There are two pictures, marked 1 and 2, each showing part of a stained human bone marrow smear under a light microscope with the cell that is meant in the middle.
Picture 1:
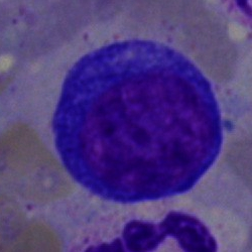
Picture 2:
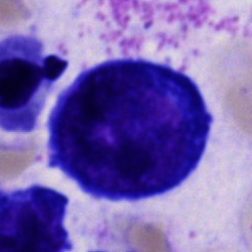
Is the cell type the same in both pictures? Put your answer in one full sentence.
Yes, they are the same type: both are proerythroblasts.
